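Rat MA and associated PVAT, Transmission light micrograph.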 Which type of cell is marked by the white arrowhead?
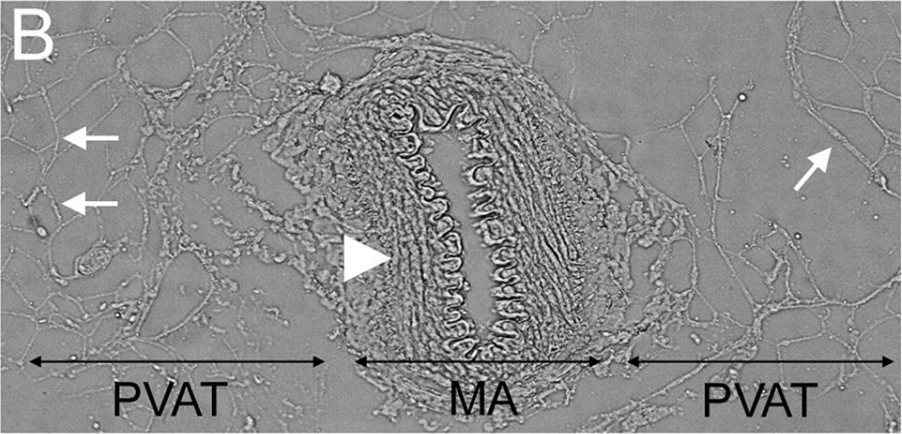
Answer: smooth muscle cells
